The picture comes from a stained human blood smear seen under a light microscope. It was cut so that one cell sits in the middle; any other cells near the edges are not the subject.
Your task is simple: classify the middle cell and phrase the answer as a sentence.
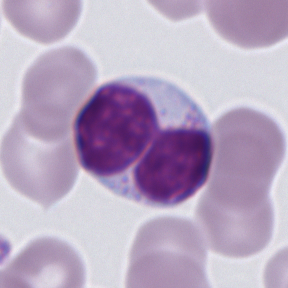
The middle of this crop holds a large granular lymphocyte.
